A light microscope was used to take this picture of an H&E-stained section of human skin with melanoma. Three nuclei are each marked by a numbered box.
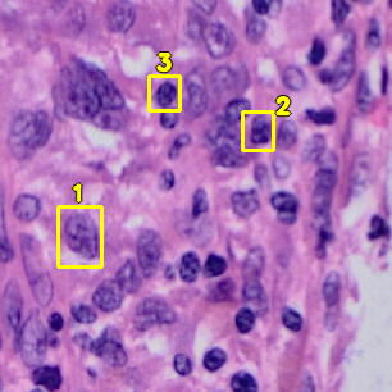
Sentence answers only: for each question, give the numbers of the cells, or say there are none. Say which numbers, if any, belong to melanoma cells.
Only one choice fits: cell 1 is a melanoma cell, and no other.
